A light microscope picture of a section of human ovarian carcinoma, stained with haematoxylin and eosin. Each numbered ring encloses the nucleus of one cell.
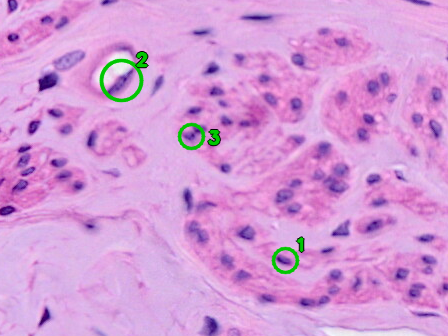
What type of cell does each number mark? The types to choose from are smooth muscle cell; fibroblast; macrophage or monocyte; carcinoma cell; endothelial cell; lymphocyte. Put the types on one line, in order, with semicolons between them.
smooth muscle cell; endothelial cell; smooth muscle cell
